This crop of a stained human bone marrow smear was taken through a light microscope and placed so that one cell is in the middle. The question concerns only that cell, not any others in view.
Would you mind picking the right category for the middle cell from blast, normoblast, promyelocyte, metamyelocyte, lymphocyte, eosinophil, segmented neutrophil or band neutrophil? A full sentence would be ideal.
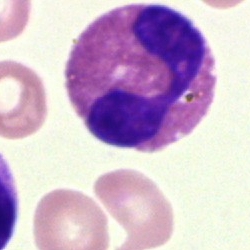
The centrally positioned cell in the crop represents an eosinophil.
